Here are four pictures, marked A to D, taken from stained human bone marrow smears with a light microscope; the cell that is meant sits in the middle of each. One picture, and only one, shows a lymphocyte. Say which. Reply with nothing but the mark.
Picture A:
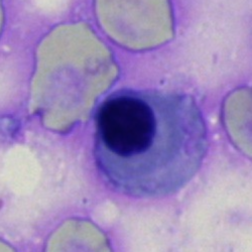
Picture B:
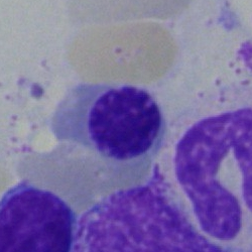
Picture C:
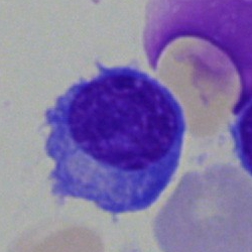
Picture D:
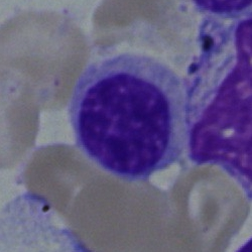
D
